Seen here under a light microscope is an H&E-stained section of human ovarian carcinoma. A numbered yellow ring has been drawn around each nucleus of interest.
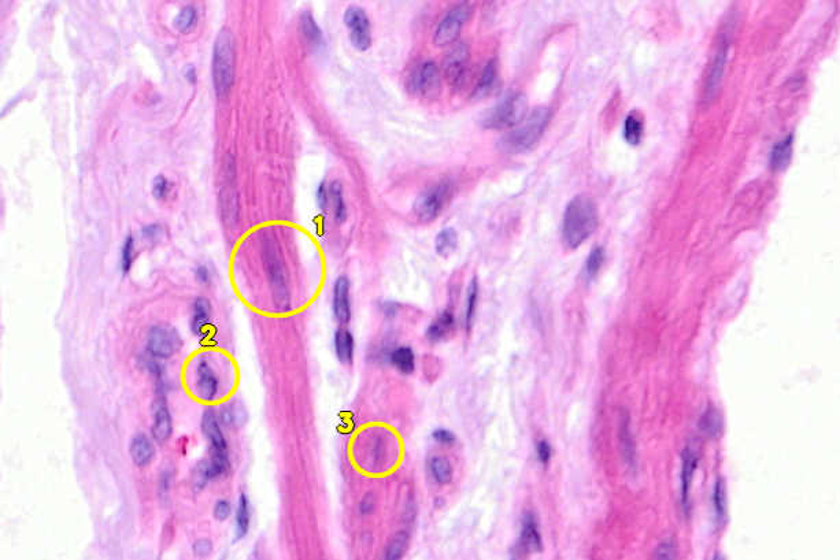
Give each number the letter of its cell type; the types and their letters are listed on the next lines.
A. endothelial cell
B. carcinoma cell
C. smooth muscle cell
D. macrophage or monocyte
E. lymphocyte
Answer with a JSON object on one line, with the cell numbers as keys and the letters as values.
{"1": "C", "2": "A", "3": "C"}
